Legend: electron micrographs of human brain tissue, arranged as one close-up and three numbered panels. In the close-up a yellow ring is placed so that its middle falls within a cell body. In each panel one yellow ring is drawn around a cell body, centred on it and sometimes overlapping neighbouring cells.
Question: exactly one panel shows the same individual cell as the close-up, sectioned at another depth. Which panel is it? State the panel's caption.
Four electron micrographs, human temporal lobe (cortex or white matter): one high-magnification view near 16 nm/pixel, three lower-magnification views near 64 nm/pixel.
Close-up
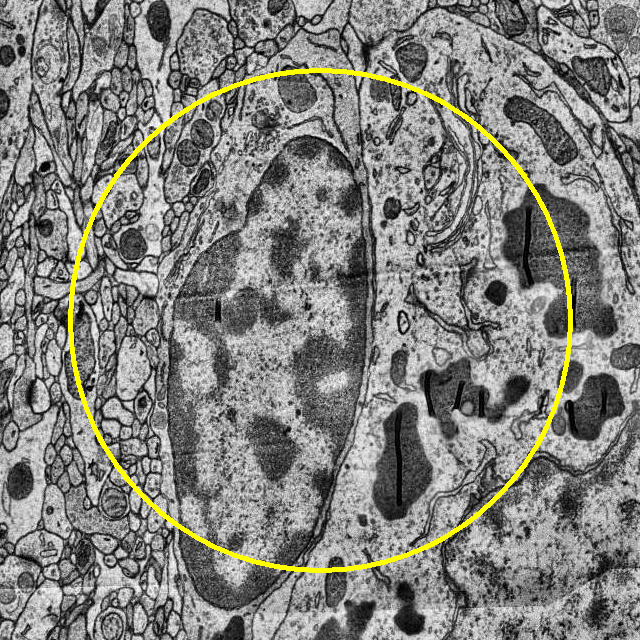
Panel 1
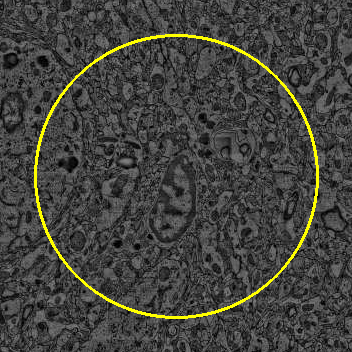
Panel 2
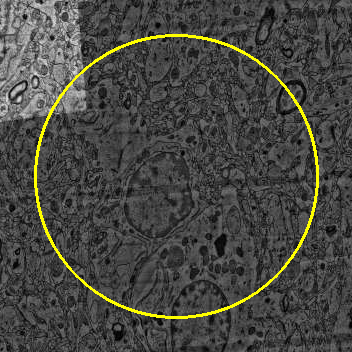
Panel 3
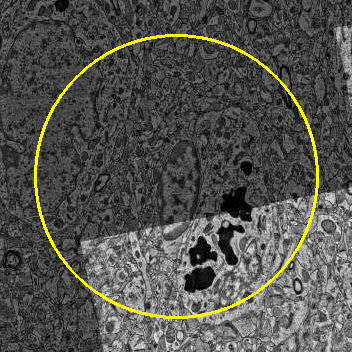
Panel 3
